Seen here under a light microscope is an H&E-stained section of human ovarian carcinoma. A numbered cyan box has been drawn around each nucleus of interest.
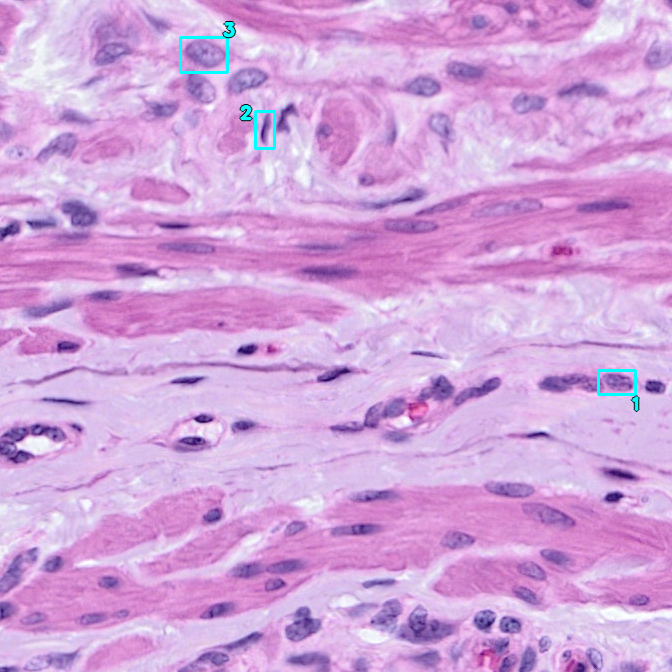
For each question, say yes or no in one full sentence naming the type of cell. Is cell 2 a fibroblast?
Yes, number 2 marks a cell that is a fibroblast.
